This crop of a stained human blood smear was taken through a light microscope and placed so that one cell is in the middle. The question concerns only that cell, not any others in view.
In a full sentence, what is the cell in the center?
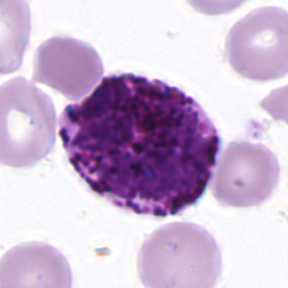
The crop shows a basophil in its centre.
